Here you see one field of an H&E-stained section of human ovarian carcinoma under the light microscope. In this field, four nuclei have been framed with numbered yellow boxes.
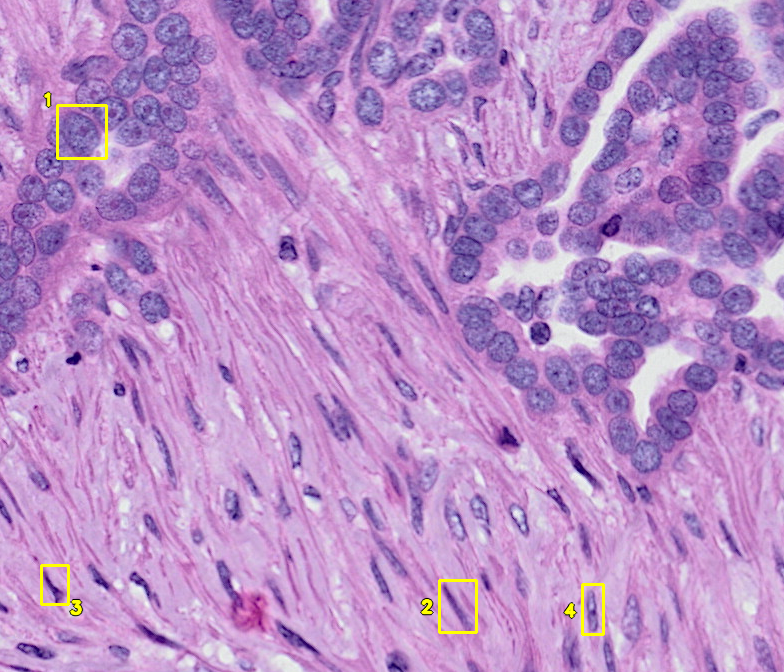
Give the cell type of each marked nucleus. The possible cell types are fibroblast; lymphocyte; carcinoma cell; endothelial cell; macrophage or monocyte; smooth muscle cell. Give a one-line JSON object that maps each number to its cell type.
{"1": "carcinoma cell", "2": "fibroblast", "3": "fibroblast", "4": "fibroblast"}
